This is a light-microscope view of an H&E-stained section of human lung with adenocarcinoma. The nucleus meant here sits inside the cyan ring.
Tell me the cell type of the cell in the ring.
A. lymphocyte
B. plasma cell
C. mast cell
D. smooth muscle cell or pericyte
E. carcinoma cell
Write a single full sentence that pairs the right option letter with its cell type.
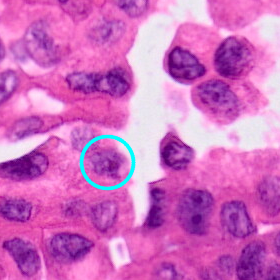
Option E gives the correct identity of the cell in the ring, which is a carcinoma cell.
